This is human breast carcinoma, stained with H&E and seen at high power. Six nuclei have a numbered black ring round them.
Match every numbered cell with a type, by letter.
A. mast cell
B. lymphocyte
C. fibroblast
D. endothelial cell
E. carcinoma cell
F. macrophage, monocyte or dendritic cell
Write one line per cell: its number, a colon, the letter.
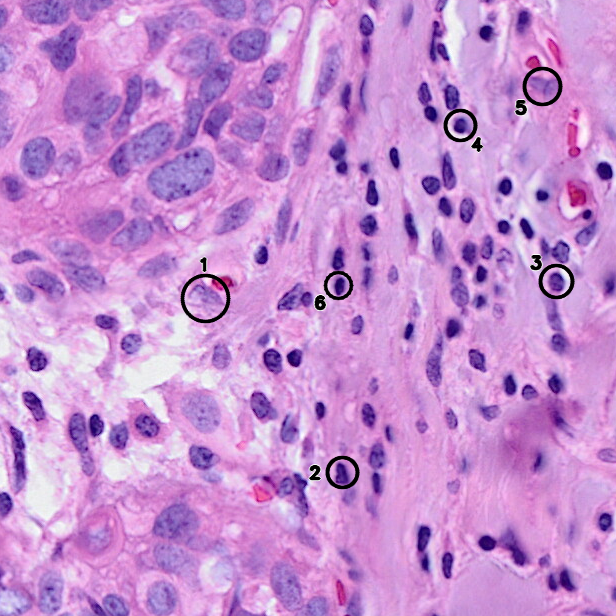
1: D
2: B
3: B
4: B
5: D
6: B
